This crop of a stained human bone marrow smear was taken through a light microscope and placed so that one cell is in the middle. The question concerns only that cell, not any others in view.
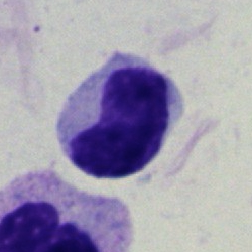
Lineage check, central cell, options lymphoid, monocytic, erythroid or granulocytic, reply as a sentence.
The centered cell is one of the lymphoid lineage.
